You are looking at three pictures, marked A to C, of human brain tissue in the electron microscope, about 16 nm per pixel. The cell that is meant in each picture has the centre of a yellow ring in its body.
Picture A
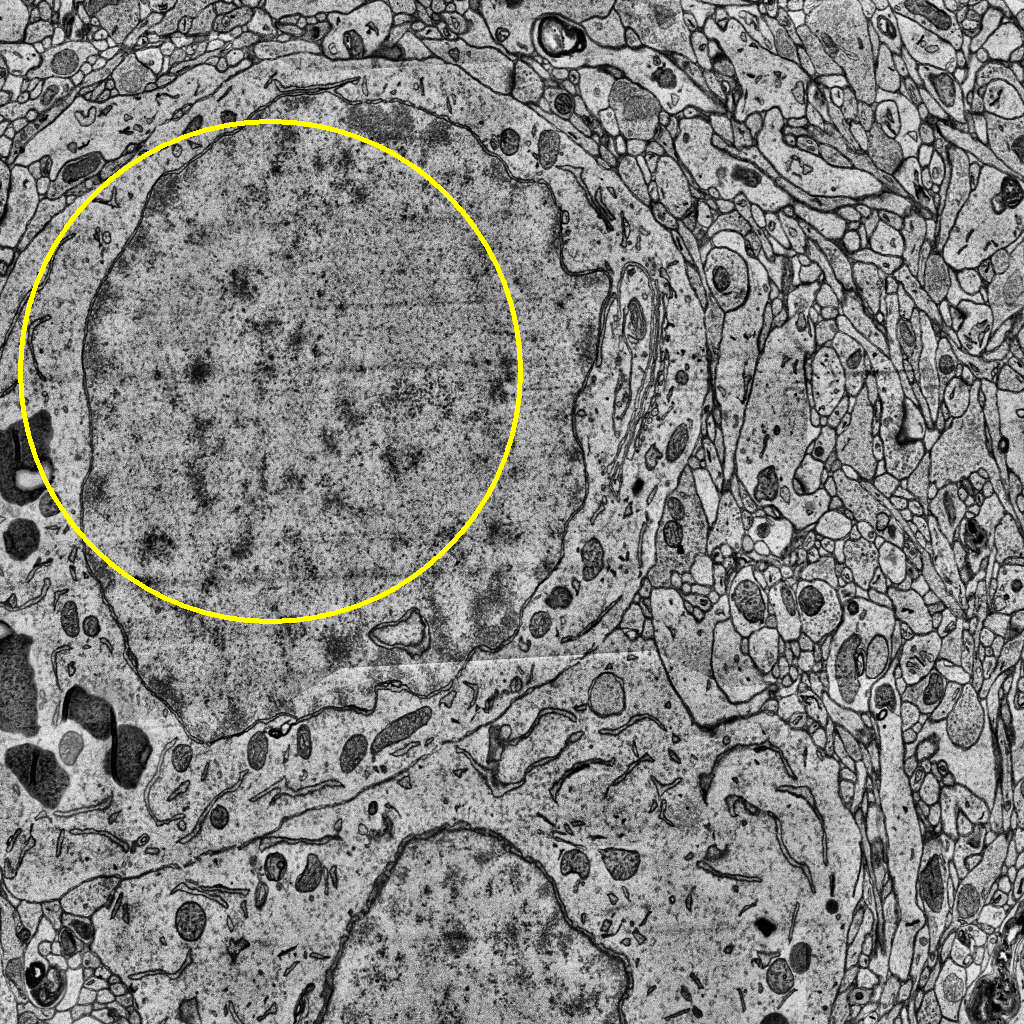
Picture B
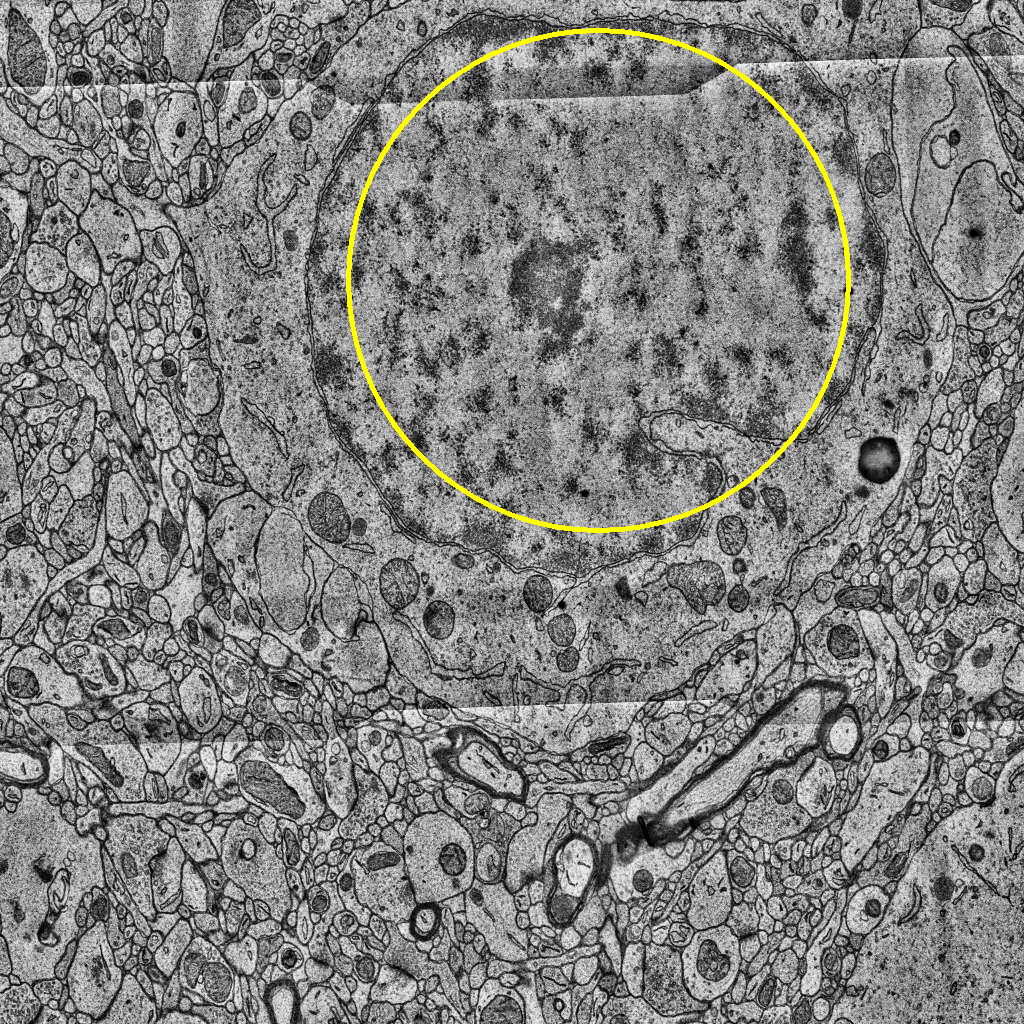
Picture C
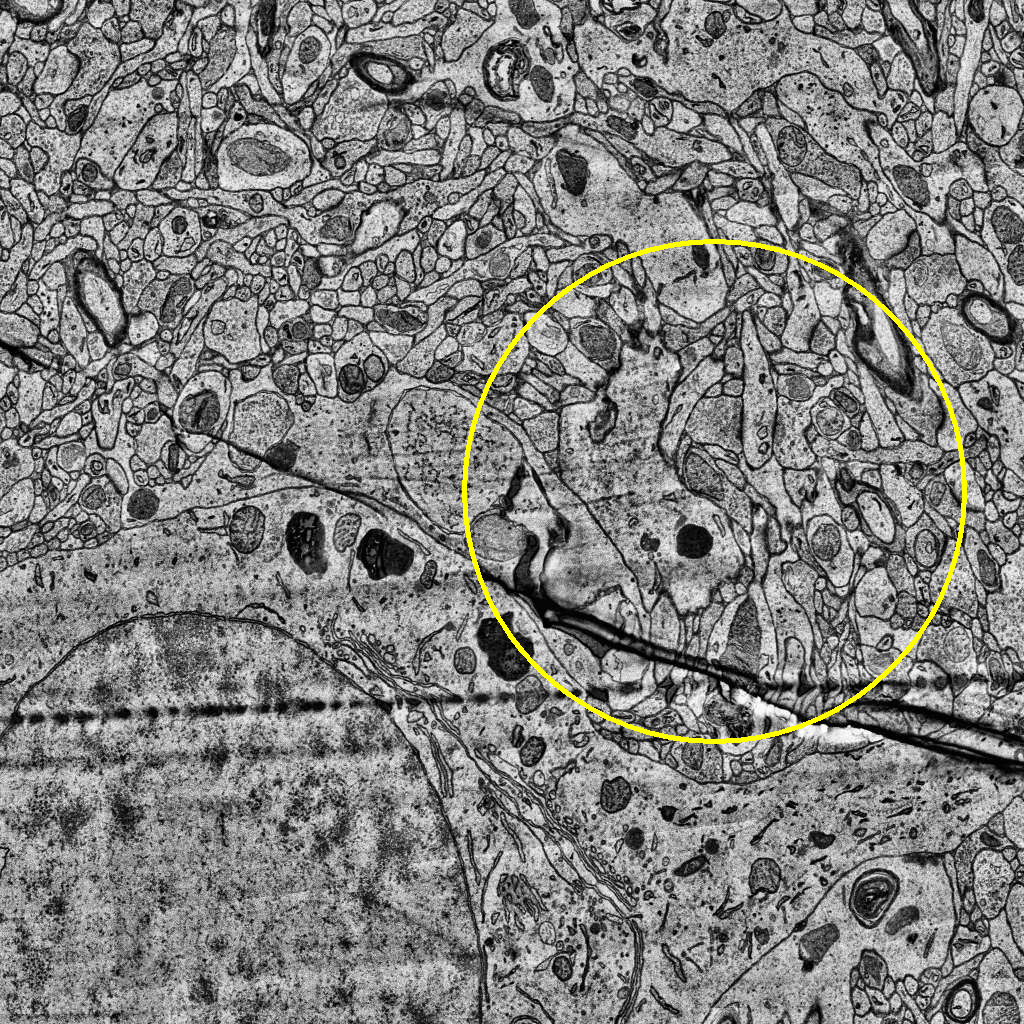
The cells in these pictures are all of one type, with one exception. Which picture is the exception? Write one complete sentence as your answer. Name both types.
All pictures except C show interneurons; picture C shows a pyramidal neuron.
